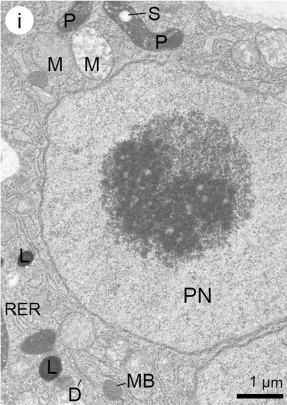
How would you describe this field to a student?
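Here is a portion of the central cell of the embryo sac around one polar nucleus. The nucleus is large and round, with finely granular chromatin and a big dark, dense nucleolus. In the surrounding cytoplasm lie plastids, one holding a pale starch grain, small dark round lipid droplets, mitochondria with faint internal membranes, stacked dictyosome cisternae, profiles of rough endoplasmic reticulum running along the nuclear edge, and small dense microbodies. The organelles crowd mainly at the upper edge and beside the nucleus.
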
